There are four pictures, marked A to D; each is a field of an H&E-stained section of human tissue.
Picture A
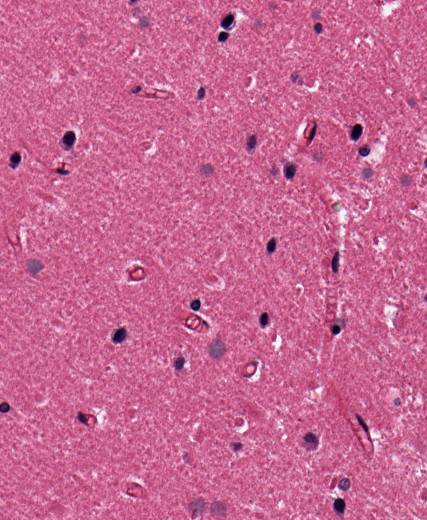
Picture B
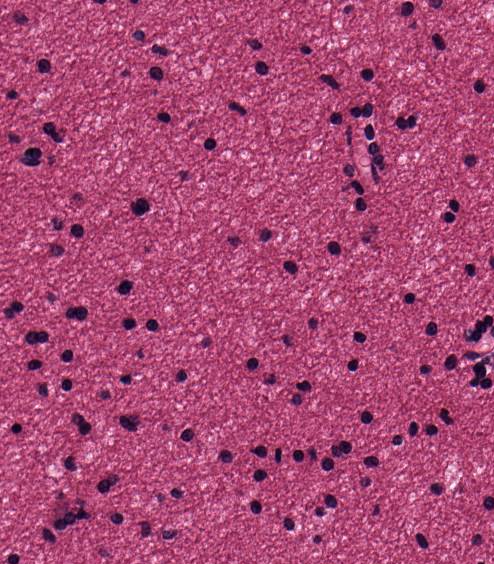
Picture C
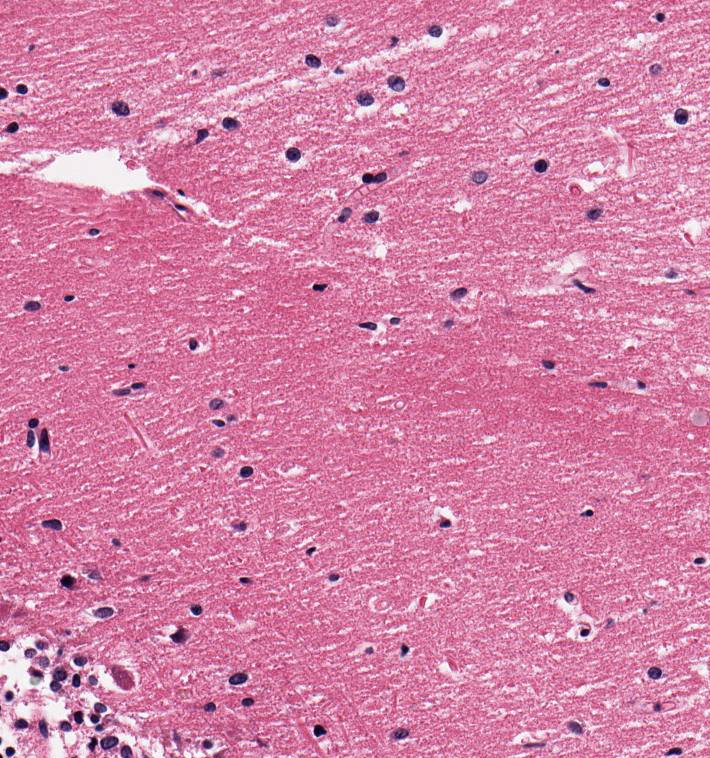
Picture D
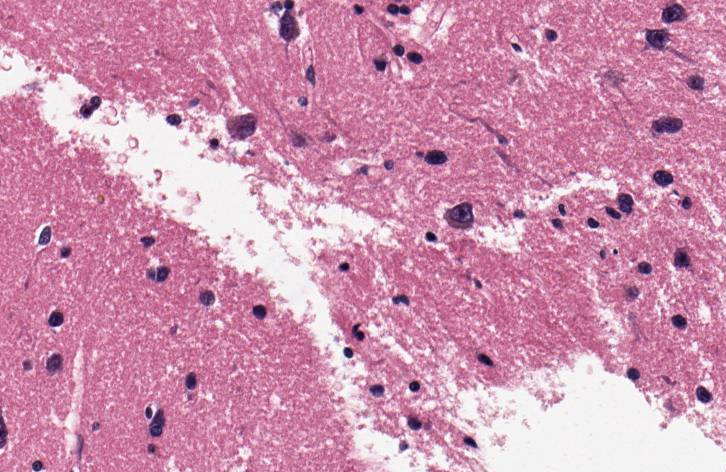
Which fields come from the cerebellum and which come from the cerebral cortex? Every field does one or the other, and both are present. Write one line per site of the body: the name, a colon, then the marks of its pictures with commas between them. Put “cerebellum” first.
cerebellum: A, C
cerebral cortex: B, D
